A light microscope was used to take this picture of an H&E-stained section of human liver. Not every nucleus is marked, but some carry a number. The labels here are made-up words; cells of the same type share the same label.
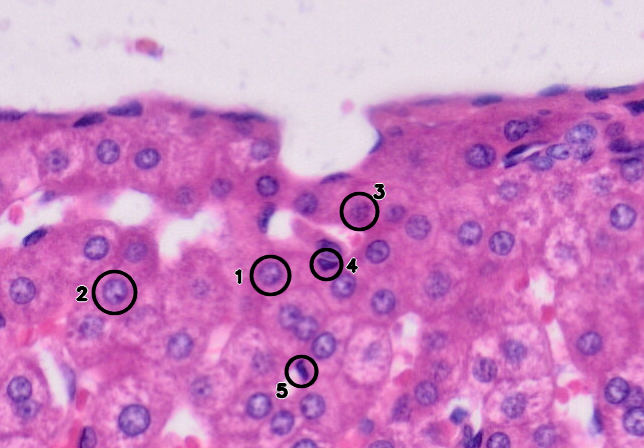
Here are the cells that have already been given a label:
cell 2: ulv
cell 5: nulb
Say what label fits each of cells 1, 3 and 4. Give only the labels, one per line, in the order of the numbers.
ulv
ulv
nulb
